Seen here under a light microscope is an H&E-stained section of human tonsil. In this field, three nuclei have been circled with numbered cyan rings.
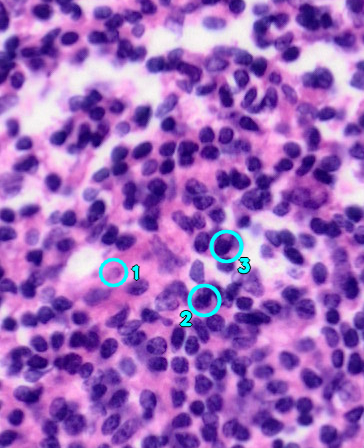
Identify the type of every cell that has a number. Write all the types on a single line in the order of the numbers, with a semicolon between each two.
endothelial cell; small lymphocyte; small lymphocyte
